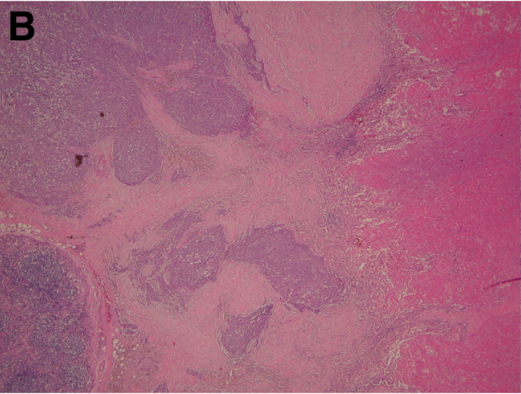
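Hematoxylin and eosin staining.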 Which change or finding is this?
Necrotic tissue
